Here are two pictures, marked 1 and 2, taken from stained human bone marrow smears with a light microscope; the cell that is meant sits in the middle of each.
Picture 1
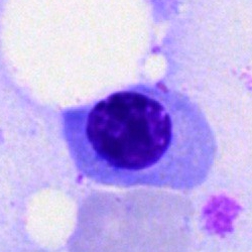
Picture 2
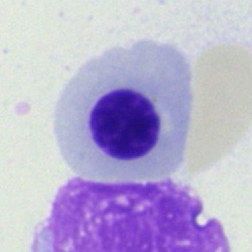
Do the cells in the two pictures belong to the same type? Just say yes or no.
yes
